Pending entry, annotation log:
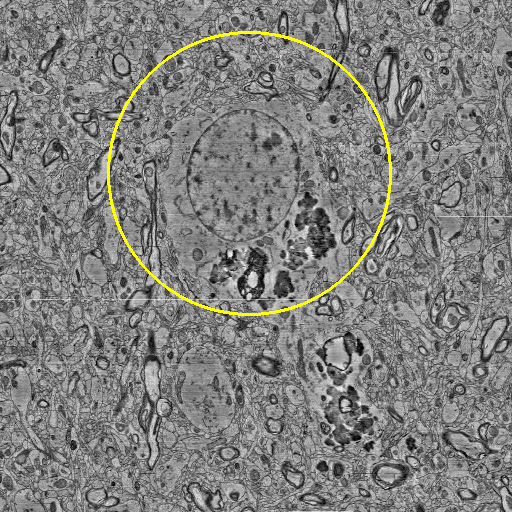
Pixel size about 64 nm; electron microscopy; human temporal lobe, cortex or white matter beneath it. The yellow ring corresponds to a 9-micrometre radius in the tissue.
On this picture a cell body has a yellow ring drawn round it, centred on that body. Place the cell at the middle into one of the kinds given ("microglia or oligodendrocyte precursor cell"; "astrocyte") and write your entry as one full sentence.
The cell body at the middle of the yellow ring belongs to an astrocyte.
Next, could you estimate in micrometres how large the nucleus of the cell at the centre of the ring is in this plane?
The nucleus appears roughly 9 by 7 micrometres in this plane.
